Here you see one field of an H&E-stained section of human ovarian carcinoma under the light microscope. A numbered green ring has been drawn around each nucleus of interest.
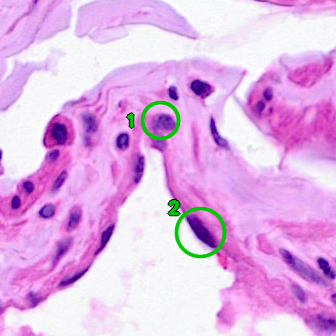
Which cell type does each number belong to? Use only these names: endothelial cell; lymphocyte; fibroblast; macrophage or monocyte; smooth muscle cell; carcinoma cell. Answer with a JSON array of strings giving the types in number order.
["smooth muscle cell", "endothelial cell"]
